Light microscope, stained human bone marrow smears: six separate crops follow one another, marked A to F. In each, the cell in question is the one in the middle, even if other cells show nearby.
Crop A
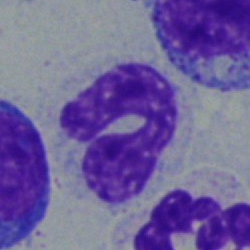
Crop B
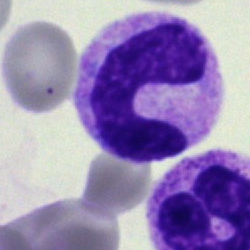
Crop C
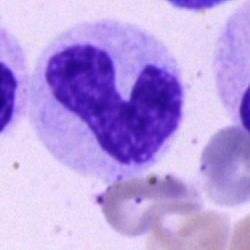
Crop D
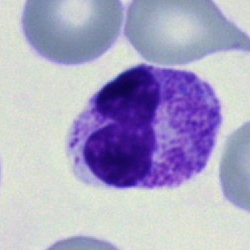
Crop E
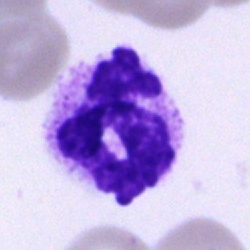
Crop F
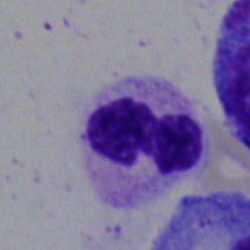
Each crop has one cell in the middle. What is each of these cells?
A: band neutrophil
B: band neutrophil
C: band neutrophil
D: band neutrophil
E: segmented neutrophil
F: segmented neutrophil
